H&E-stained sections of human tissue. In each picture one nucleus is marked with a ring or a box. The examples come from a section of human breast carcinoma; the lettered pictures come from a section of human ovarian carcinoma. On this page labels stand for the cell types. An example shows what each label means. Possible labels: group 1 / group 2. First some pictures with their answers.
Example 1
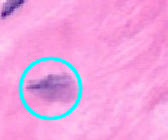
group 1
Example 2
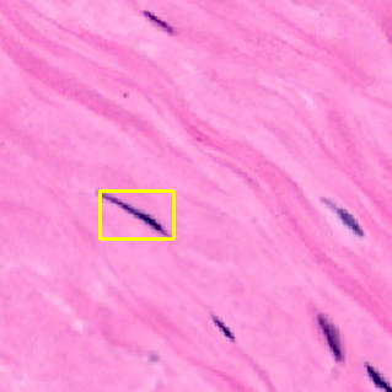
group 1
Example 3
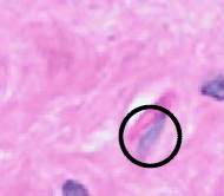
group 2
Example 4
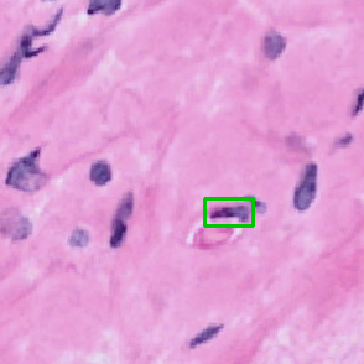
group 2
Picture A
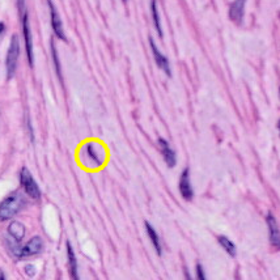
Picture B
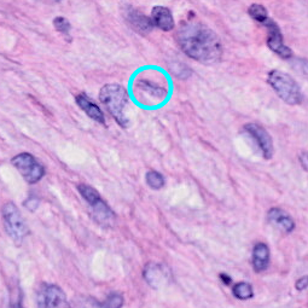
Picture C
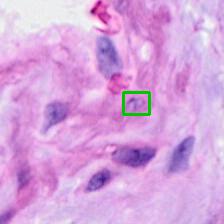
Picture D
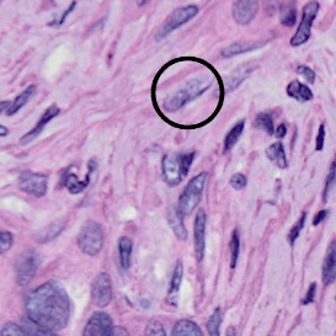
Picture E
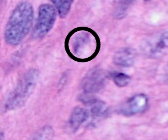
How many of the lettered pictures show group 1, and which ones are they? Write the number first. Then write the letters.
4, namely A, B, D, E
